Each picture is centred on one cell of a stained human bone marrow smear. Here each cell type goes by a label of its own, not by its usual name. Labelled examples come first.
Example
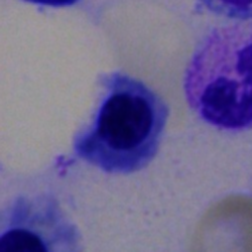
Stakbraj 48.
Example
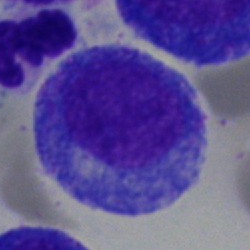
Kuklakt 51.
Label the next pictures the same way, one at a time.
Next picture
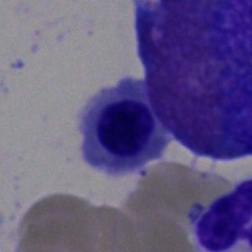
Stakbraj 48.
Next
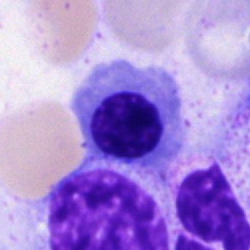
Stakbraj 48.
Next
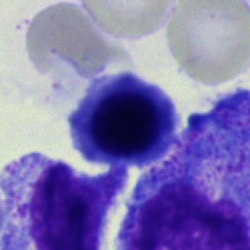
Stakbraj 48.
